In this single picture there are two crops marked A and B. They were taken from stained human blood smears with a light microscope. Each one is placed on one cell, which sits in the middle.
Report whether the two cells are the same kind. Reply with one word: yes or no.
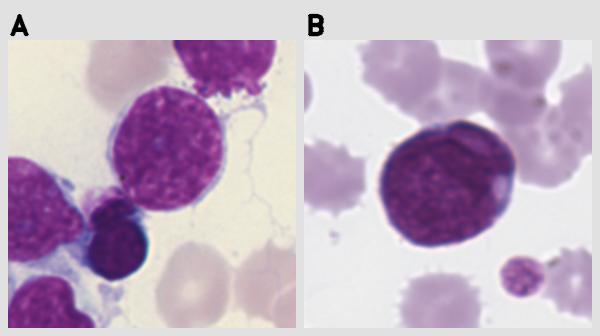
yes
